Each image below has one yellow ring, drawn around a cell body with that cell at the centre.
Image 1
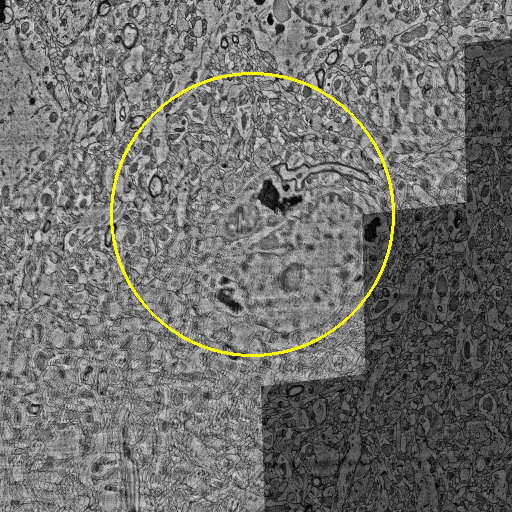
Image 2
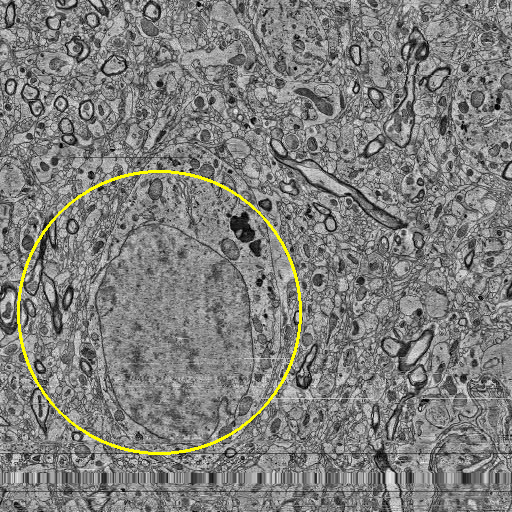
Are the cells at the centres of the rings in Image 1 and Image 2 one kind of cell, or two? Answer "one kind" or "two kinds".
two kinds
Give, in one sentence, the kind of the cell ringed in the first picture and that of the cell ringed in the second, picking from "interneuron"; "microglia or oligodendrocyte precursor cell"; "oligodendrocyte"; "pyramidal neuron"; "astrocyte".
For the first picture it is an oligodendrocyte; for the second, a pyramidal neuron.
